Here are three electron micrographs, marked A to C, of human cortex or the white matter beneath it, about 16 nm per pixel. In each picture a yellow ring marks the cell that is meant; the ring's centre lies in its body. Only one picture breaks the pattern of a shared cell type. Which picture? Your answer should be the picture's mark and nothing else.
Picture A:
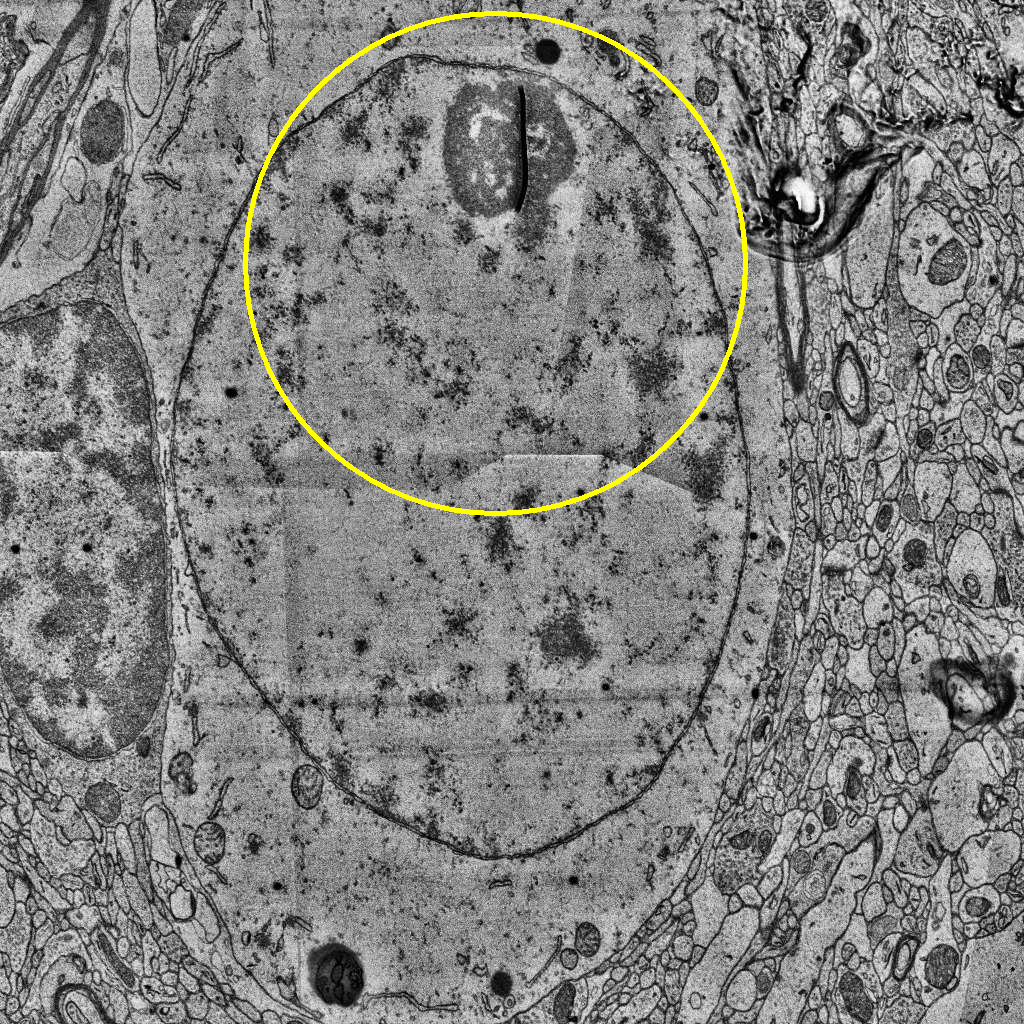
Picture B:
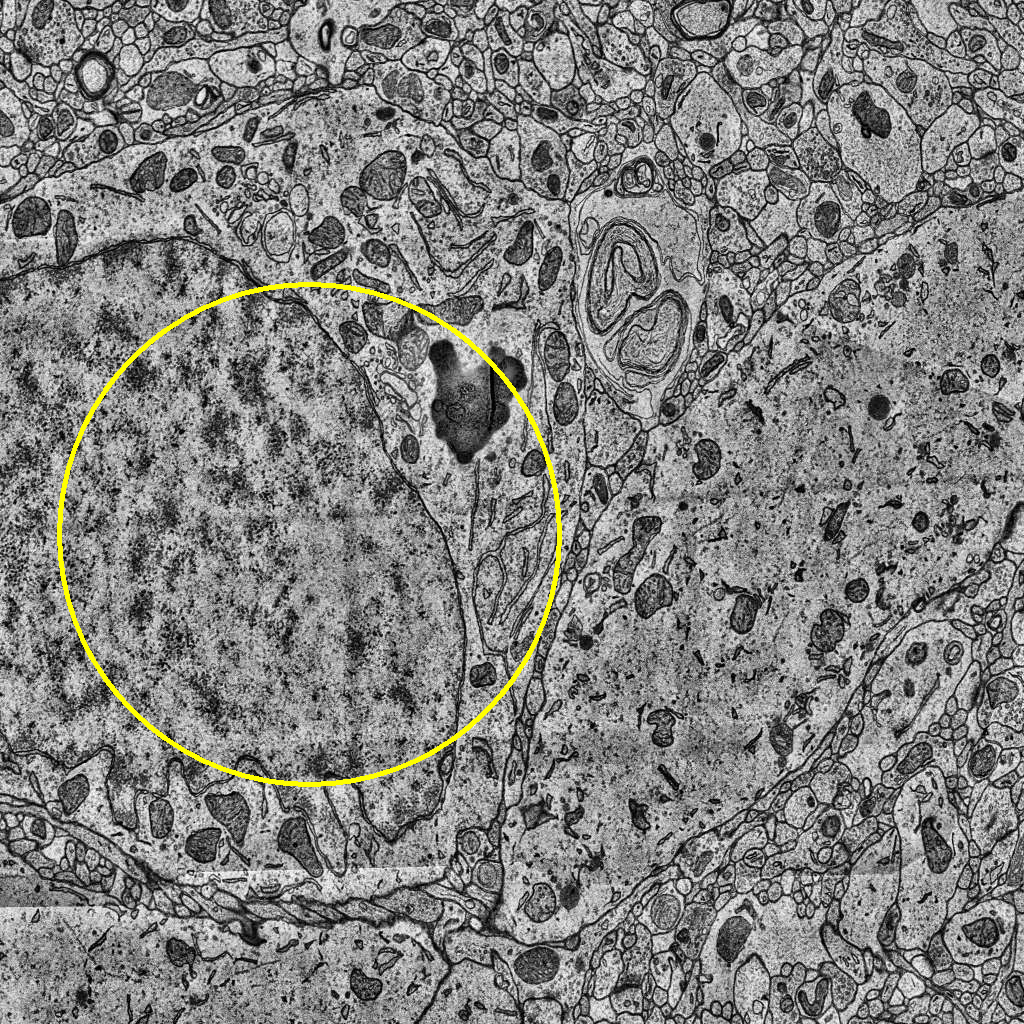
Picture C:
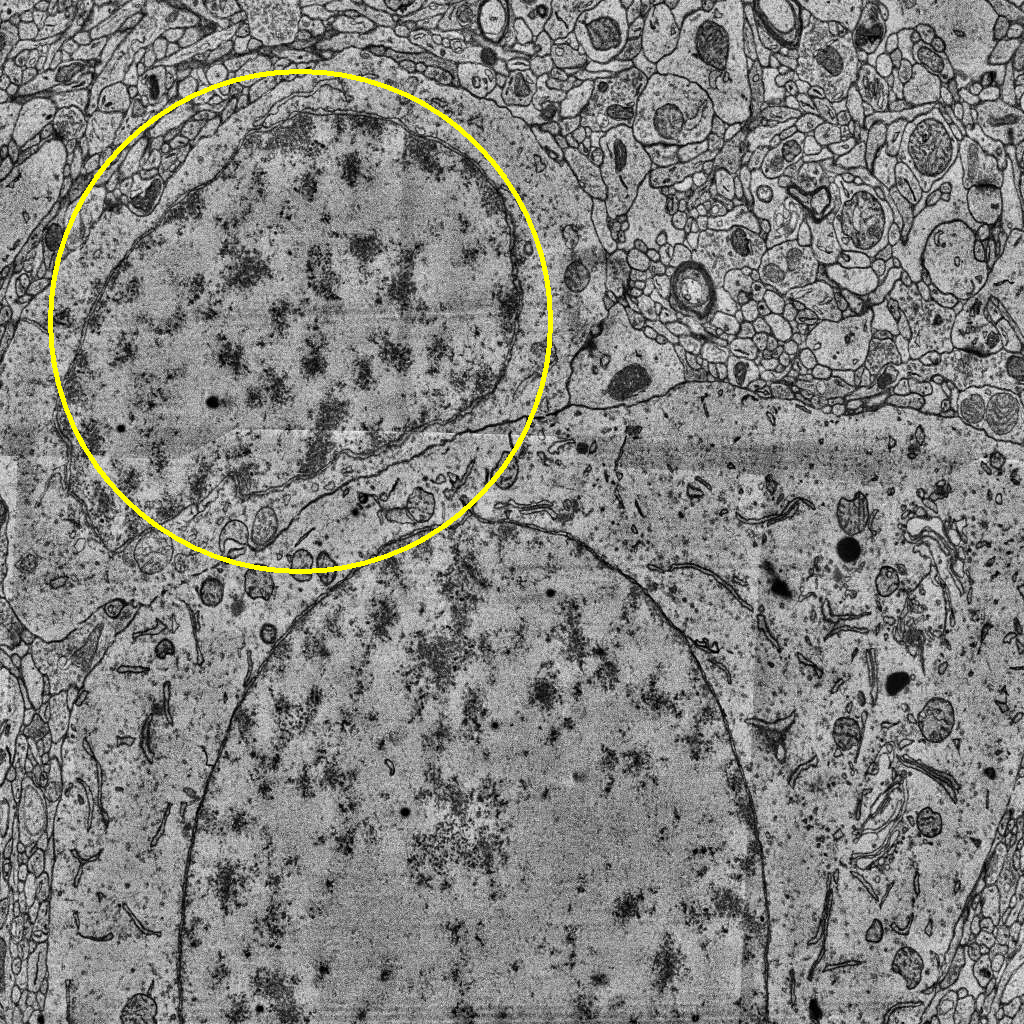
A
